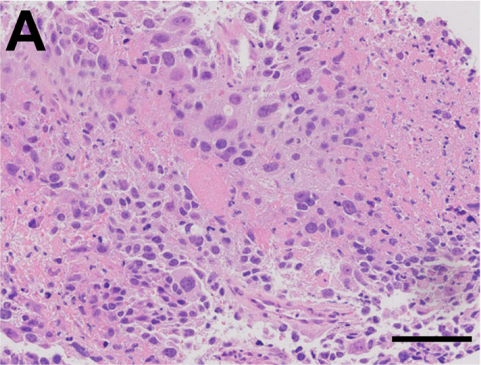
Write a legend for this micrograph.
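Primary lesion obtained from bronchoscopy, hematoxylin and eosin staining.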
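This is a malignant tumor made of large, pleomorphic tumor cells with enlarged, dark purple hyperchromatic nuclei, some cells being multinucleated giant forms. The cells have abundant pink eosinophilic cytoplasm and lie in loose sheets, with a band of pink, less cellular material running through the field.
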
